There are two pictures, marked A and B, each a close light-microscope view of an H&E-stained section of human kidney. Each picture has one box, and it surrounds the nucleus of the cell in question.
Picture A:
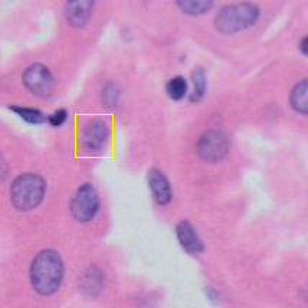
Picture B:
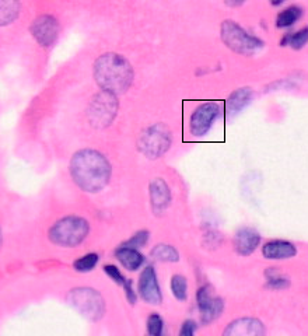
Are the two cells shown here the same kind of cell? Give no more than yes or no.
yes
